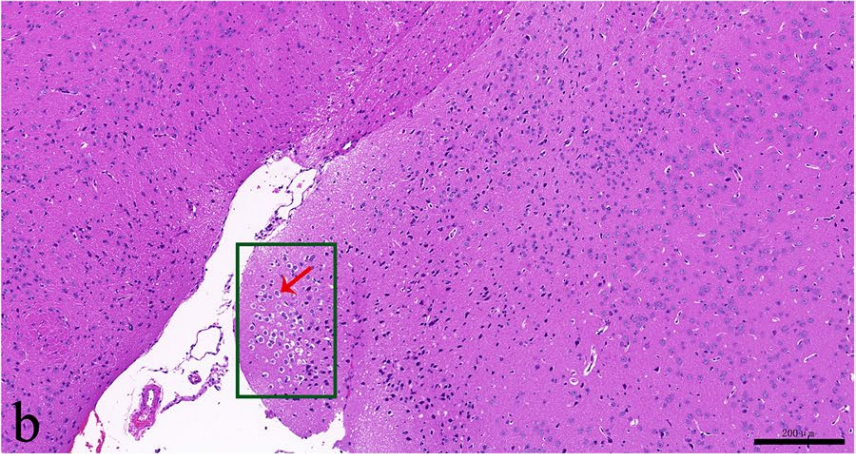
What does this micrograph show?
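Brain tissue stained with hematoxylin and eosin, showing neurons in pink neuropil with a focal area of cell swelling. Beside a cleft at the tissue edge, which contains thin membranes and a small blood vessel, a rectangular boxed area holds cells surrounded by clear empty halos, giving a bubbly look. These cells appear rounded and irregularly arranged, and the tissue between them looks looser than elsewhere.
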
